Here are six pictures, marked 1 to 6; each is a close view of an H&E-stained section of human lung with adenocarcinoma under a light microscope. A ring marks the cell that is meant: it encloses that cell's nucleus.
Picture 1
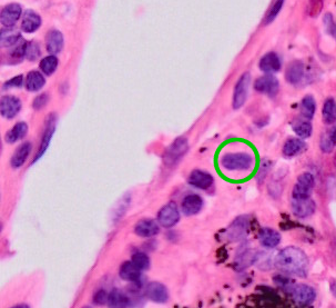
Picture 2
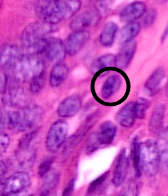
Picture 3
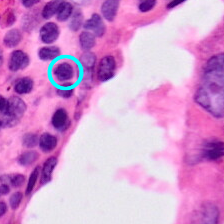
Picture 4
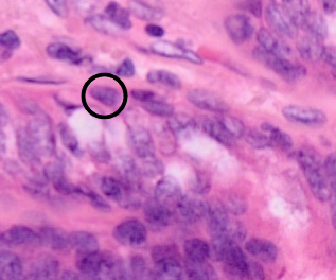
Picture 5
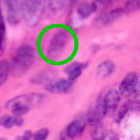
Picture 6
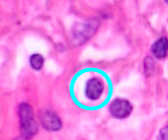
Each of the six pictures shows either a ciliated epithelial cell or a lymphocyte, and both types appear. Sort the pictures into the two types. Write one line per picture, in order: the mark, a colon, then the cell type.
1: lymphocyte
2: ciliated epithelial cell
3: lymphocyte
4: ciliated epithelial cell
5: ciliated epithelial cell
6: lymphocyte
